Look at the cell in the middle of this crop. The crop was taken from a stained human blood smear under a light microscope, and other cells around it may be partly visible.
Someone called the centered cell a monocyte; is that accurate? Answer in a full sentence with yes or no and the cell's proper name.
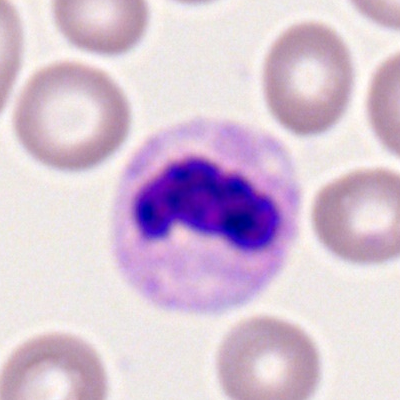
No, the identification should read a neutrophil, not a monocyte, for the central cell.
